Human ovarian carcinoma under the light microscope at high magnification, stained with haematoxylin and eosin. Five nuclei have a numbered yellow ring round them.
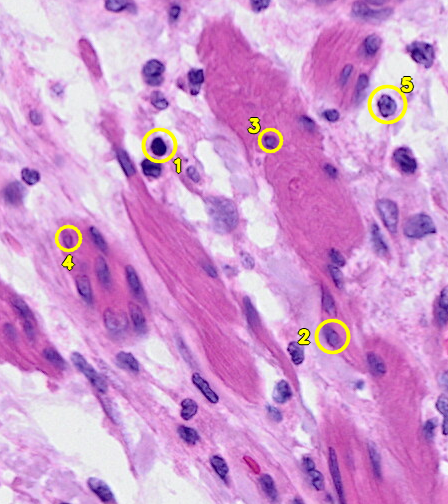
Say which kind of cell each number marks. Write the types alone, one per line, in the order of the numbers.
lymphocyte
smooth muscle cell
smooth muscle cell
smooth muscle cell
lymphocyte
